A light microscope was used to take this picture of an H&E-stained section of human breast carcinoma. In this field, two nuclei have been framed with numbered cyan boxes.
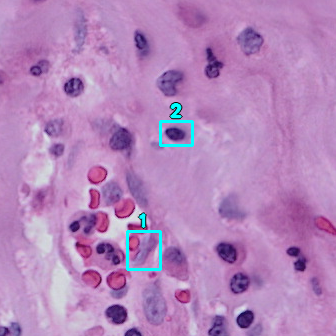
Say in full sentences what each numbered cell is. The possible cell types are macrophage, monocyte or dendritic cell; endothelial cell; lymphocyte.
Cell 1 is an endothelial cell and cell 2 is a lymphocyte.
